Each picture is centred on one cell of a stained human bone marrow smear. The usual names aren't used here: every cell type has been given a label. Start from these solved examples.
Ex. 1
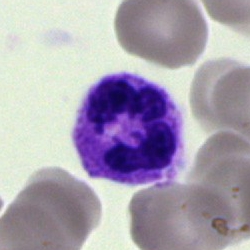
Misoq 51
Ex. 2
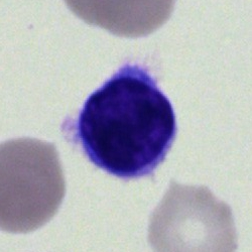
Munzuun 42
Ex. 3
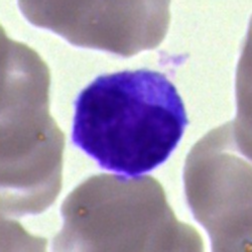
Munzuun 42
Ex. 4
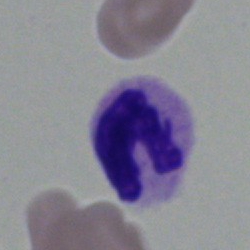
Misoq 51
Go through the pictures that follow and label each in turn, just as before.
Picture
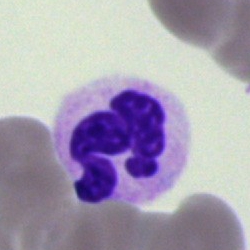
Misoq 51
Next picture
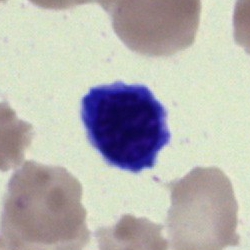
Munzuun 42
